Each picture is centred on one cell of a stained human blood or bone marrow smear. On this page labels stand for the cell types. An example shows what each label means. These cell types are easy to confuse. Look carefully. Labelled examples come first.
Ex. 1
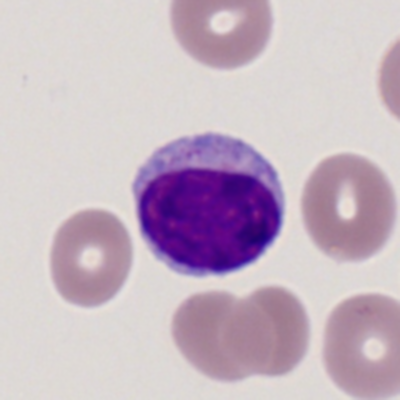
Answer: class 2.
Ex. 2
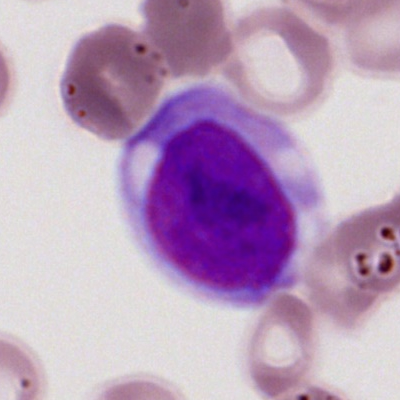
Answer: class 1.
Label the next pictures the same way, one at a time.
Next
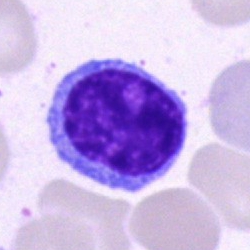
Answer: class 2.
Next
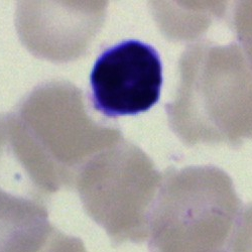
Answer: class 2.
